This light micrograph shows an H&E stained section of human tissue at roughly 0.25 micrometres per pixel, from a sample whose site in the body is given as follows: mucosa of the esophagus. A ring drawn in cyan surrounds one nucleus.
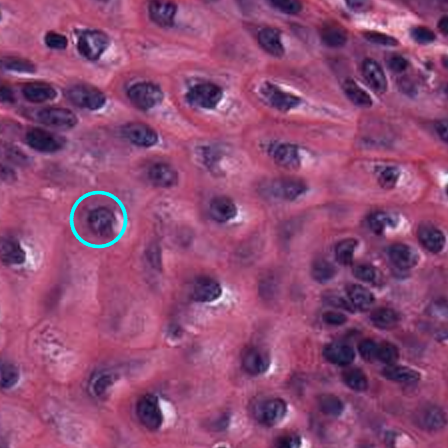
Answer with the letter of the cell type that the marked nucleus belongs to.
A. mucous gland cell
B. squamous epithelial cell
B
